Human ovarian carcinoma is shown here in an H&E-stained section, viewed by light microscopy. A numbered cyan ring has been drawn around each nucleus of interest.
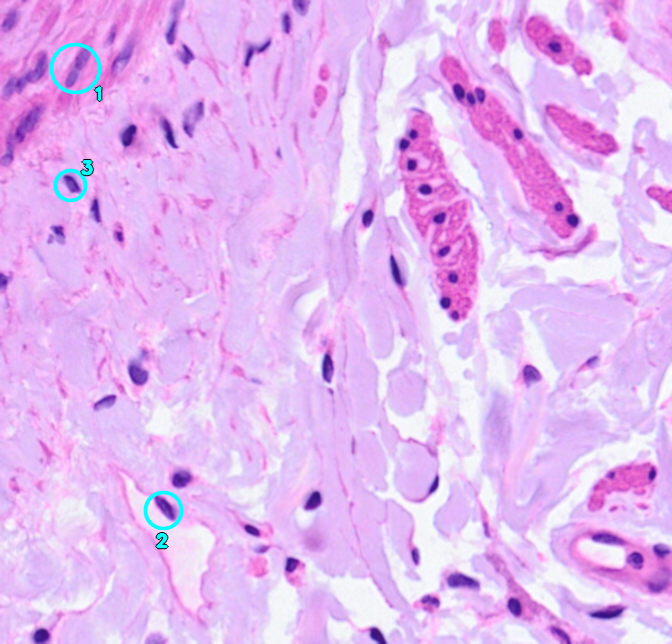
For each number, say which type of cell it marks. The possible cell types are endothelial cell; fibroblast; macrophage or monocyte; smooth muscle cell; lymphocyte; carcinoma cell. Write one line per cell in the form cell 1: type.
cell 1: smooth muscle cell
cell 2: endothelial cell
cell 3: fibroblast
